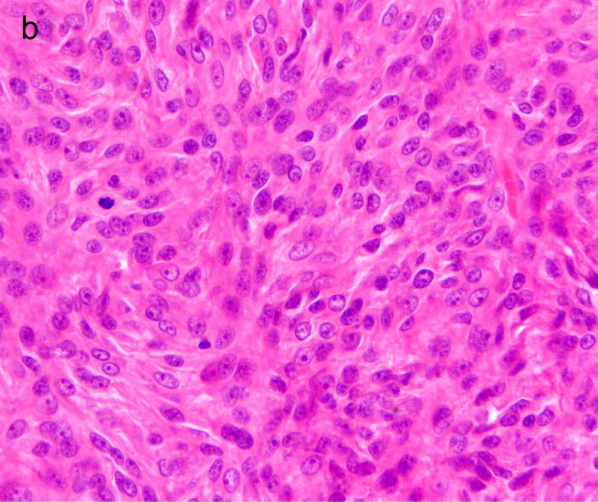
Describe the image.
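This tumor tissue is made of spindle cells arranged in a storiform pattern: short bundles of cells run in different directions and interweave with one another. The nuclei are oval to elongated, with vesicular chromatin and often a visible nucleolus, and vary moderately in size. The cytoplasm is pink, fibrillar and drawn out into tapering ends, and cell borders are indistinct. Pale pink collagen-like material lies between some bundles. The tissue is densely cellular, and an occasional dark, condensed nucleus is seen.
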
